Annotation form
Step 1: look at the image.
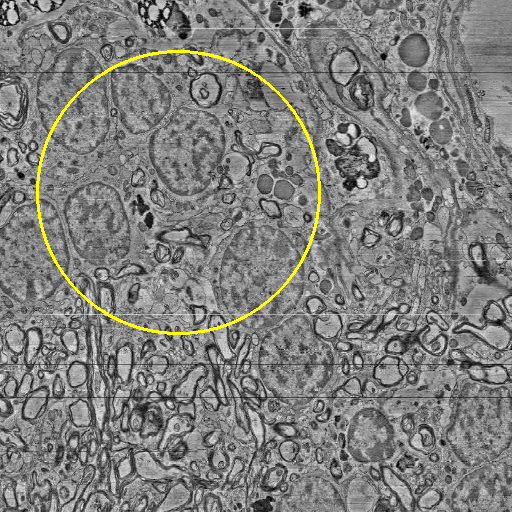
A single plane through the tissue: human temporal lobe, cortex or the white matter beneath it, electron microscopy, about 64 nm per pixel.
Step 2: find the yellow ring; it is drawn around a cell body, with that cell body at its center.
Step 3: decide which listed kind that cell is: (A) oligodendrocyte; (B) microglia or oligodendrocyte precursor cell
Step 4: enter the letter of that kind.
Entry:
A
